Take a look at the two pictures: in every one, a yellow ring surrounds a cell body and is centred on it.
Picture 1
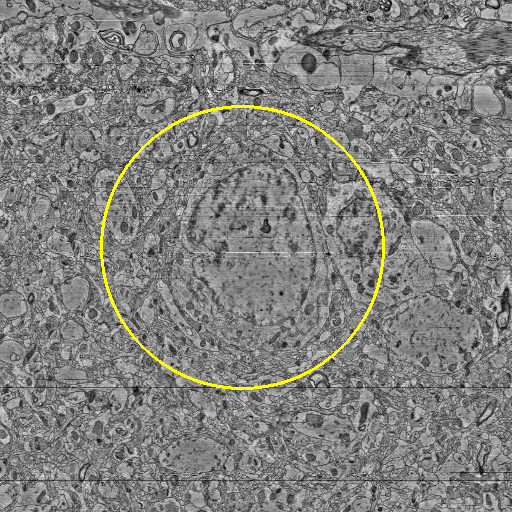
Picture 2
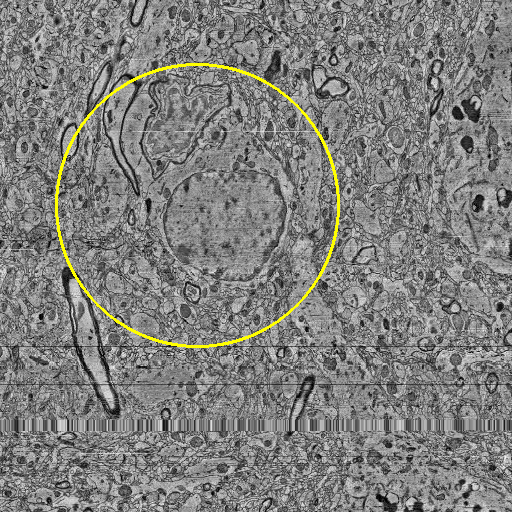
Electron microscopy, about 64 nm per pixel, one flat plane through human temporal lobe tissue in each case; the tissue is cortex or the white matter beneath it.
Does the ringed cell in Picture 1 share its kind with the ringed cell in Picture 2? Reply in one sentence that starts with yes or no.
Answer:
No, the two centred cells, one per picture, are of two kinds.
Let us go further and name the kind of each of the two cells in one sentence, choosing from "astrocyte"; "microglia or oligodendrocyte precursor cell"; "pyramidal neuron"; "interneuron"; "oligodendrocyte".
The ring of the first picture is on an interneuron, the ring of the second on a microglial cell or oligodendrocyte precursor cell.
